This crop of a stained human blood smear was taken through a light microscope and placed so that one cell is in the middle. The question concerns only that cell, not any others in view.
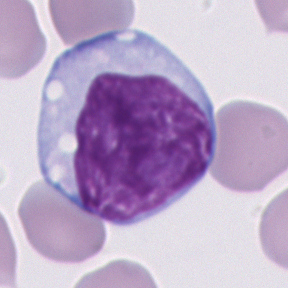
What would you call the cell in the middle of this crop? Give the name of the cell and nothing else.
blast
